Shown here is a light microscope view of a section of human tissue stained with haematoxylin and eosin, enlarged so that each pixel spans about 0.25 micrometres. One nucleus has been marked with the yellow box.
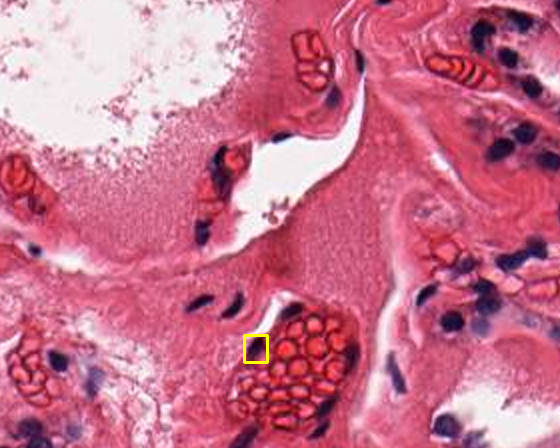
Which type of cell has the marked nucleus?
endothelial cell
